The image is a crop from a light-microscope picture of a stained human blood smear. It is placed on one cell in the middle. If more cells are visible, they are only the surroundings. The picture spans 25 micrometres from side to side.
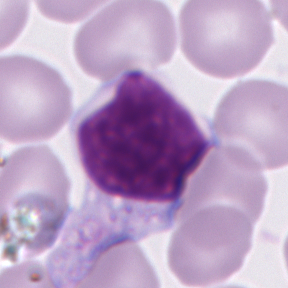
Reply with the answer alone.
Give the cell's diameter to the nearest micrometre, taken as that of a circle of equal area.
12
